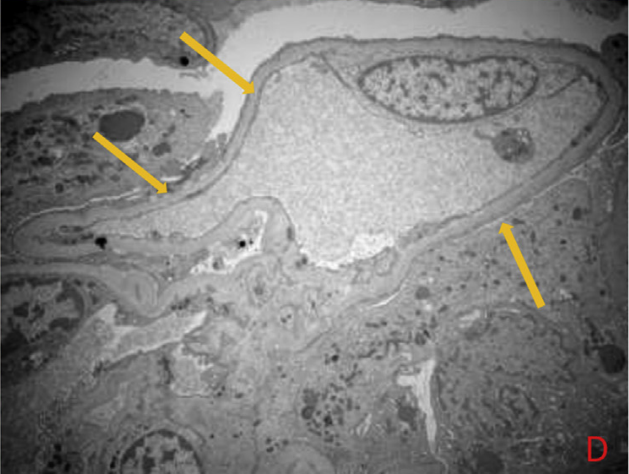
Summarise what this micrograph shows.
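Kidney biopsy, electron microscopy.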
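A glomerular capillary loop is seen, a large pale space with a nucleus near its top edge, bounded by a grey band of basement membrane. On the outer side of that band the covering cell cytoplasm lies as one continuous, flattened sheet. No row of separate feet with slits between them can be picked out along the stretches shown. This is podocyte foot-process effacement, here complete along the loop.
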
